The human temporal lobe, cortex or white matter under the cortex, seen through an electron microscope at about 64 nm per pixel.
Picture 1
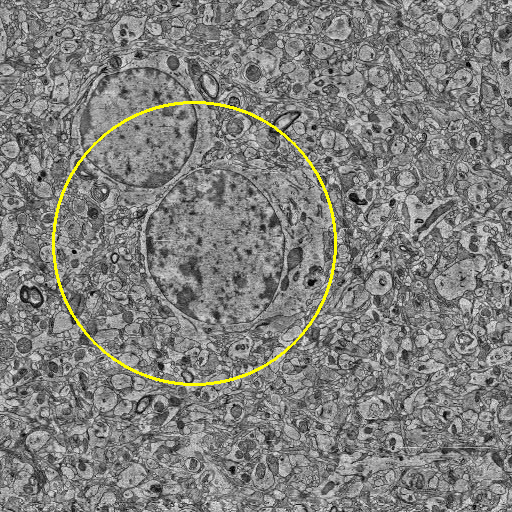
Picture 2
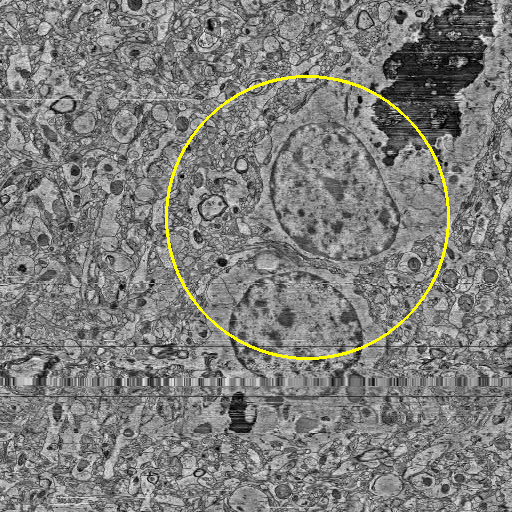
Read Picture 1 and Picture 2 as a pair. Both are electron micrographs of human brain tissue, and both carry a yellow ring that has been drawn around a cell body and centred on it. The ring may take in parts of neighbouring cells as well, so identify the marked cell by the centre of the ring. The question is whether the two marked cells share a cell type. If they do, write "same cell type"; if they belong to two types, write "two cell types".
same cell type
